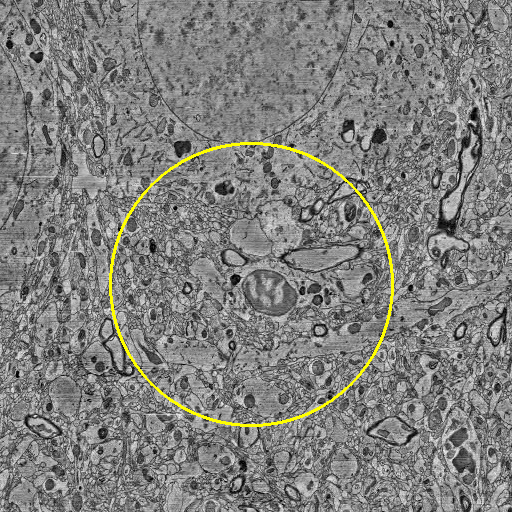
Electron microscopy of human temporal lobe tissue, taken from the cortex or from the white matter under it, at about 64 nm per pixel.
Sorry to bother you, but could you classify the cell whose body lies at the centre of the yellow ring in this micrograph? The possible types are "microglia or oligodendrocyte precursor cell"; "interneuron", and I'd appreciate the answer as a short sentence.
The ringed cell body is that of a microglial cell or oligodendrocyte precursor cell.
